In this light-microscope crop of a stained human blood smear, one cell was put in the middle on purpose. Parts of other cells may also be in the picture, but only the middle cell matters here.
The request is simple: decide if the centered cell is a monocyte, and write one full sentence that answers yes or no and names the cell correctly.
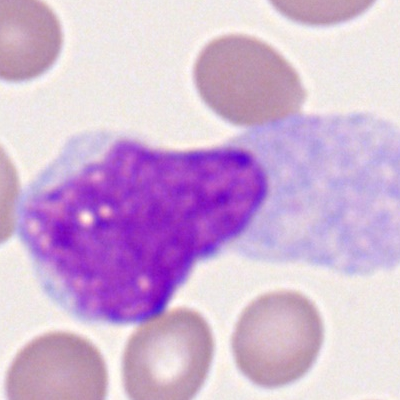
Yes, in this crop the cell in the middle is a monocyte.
